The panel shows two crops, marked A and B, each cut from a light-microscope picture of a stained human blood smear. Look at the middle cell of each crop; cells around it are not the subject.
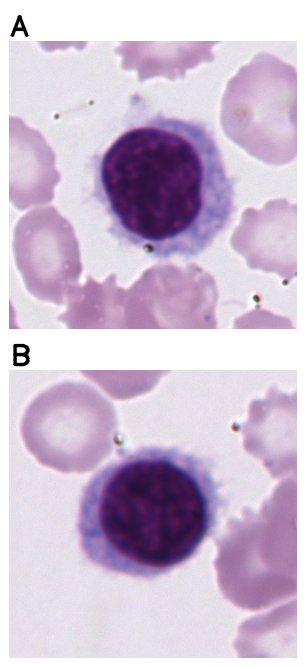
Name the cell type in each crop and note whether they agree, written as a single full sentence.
Yes, the two crops show hairy cells, one cell each.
